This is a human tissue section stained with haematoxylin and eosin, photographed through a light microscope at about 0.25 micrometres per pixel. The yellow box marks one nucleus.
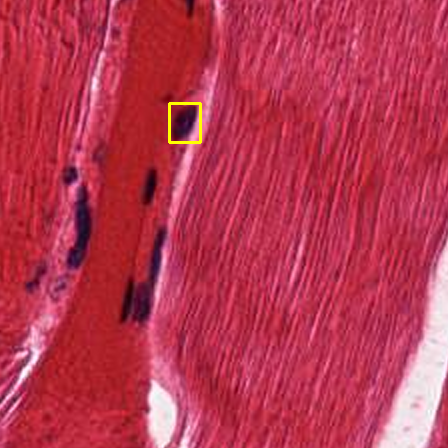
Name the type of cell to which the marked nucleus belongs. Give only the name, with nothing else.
skeletal muscle fibre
